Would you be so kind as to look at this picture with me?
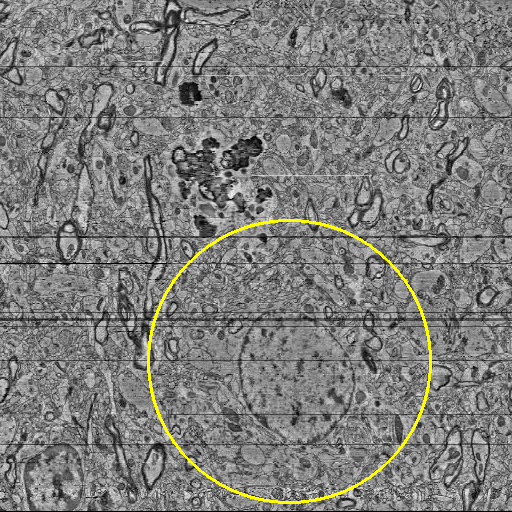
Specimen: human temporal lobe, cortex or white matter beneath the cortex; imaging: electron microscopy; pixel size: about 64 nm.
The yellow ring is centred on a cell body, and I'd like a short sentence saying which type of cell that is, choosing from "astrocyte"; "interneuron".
The cell body in the ring belongs to an astrocyte.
